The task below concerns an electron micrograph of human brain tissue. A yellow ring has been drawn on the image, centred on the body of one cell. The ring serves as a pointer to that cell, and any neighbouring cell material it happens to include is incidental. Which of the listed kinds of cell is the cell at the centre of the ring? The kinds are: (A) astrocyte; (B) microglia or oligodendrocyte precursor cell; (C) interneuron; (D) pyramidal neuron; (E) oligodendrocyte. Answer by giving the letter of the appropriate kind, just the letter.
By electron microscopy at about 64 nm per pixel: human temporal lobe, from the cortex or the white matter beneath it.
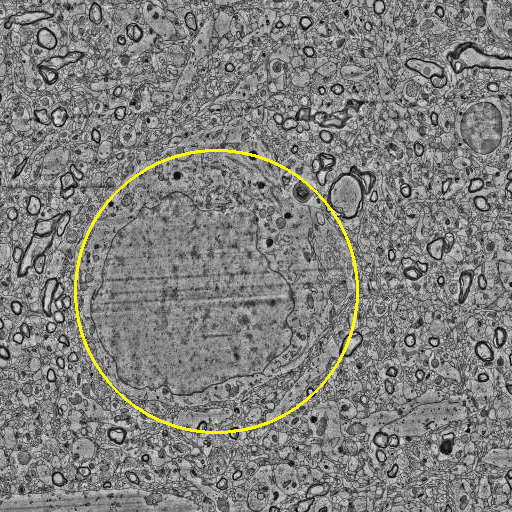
D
